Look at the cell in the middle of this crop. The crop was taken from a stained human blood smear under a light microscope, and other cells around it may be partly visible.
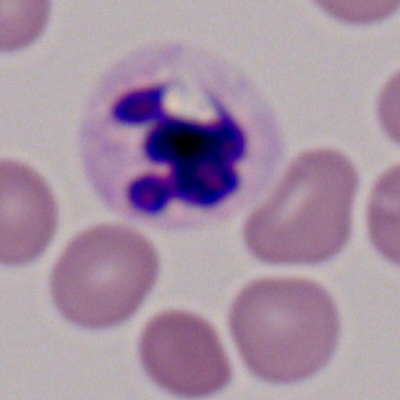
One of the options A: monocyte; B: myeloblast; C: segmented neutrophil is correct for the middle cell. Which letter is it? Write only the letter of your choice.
C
